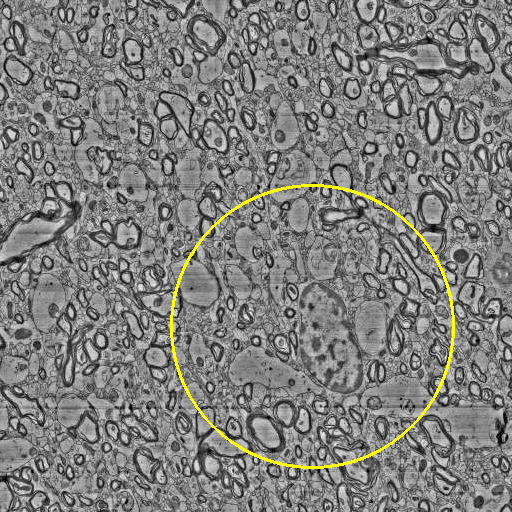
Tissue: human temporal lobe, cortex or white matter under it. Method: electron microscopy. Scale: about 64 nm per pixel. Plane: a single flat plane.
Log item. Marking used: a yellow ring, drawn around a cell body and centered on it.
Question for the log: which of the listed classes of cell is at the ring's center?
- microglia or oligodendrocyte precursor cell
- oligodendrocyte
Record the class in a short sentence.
At the center of the ring lies a microglial cell or oligodendrocyte precursor cell.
